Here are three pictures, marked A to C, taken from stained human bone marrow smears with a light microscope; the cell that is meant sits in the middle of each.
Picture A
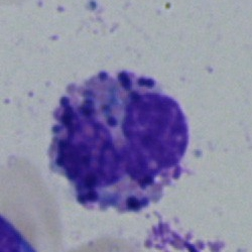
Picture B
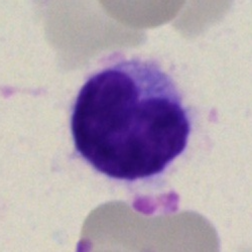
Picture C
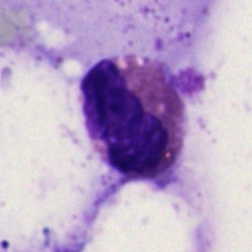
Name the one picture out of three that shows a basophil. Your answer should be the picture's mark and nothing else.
A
